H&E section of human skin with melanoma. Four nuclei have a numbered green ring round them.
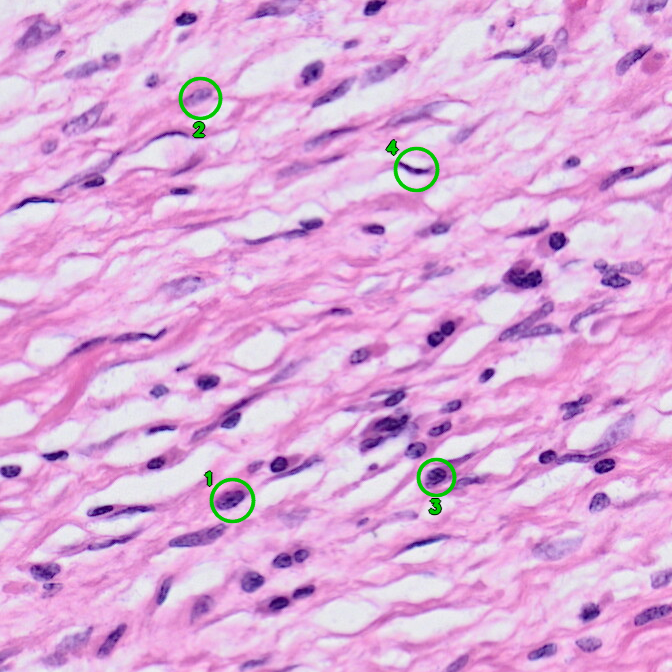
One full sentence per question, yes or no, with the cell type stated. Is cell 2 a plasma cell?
No, number 2 corresponds to a macrophage or monocyte, not a plasma cell.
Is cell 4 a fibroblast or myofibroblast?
Yes, the cell that bears number 4 is a fibroblast or myofibroblast.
